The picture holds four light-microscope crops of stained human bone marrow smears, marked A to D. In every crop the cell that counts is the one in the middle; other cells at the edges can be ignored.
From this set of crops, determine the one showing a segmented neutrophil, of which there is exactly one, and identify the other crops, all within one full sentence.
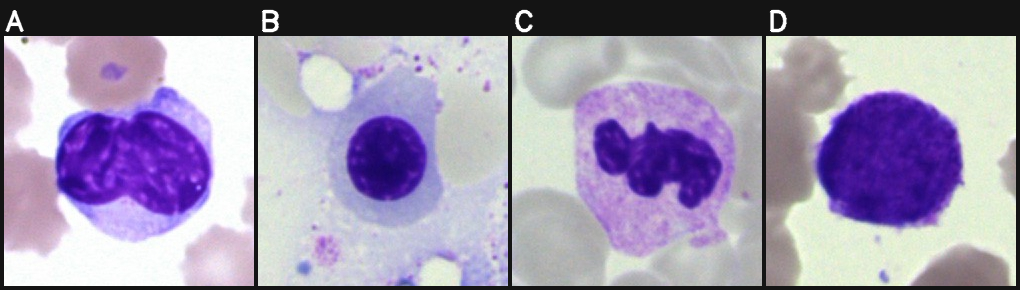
Seen in crop C is a segmented neutrophil, while crop A is a hairy cell, crop B is an erythroblast and crop D is a blast.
